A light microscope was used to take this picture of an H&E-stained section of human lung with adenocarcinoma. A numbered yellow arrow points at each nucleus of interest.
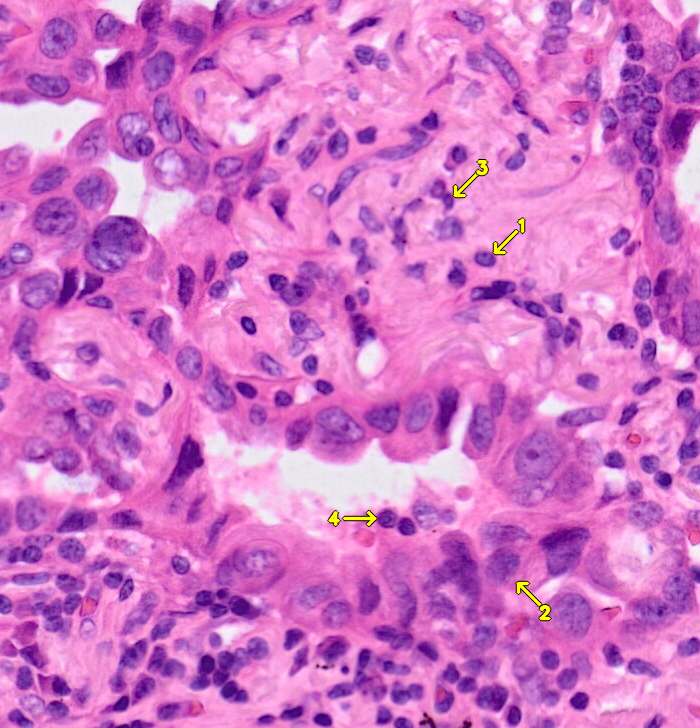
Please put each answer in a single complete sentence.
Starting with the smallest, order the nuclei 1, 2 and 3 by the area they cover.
From smallest to largest, the order is 3, 1, 2.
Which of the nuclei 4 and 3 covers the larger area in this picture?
It is nucleus 4, which covers about 2 times the area of nucleus 3.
